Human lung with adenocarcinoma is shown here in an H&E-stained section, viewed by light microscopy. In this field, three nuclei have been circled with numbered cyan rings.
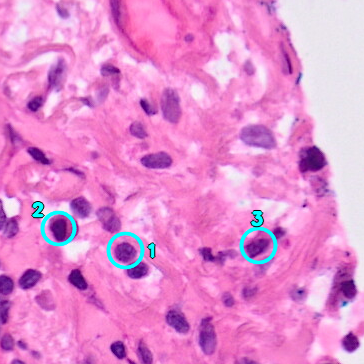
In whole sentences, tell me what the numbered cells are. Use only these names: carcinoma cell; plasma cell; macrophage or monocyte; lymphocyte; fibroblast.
Cell 1 is a lymphocyte. Cells 2 and 3 are plasma cells.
